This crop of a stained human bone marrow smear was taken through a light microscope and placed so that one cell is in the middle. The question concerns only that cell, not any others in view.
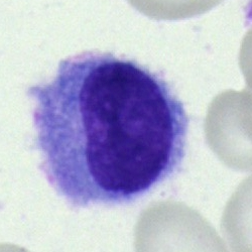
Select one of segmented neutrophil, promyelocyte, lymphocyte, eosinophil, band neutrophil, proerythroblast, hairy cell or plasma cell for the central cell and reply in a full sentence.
Answering briefly, the cell in the middle is a hairy cell.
